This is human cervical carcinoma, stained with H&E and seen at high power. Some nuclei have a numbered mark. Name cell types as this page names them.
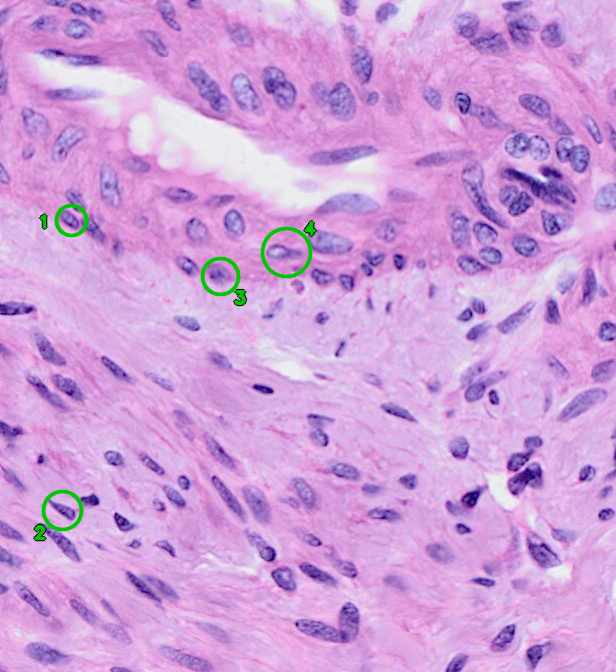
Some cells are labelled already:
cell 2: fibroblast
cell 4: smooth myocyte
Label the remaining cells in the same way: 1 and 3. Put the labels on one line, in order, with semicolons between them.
smooth myocyte; smooth myocyte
